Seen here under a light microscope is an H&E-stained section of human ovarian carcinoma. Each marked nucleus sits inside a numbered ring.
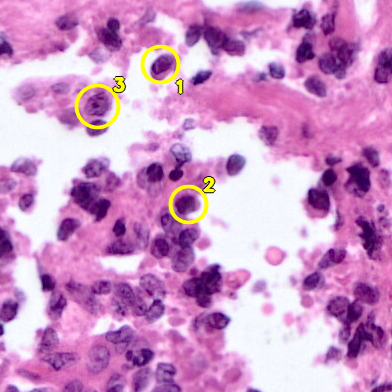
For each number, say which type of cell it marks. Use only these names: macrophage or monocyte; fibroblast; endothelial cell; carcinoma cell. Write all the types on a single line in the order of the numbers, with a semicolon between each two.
carcinoma cell; carcinoma cell; macrophage or monocyte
